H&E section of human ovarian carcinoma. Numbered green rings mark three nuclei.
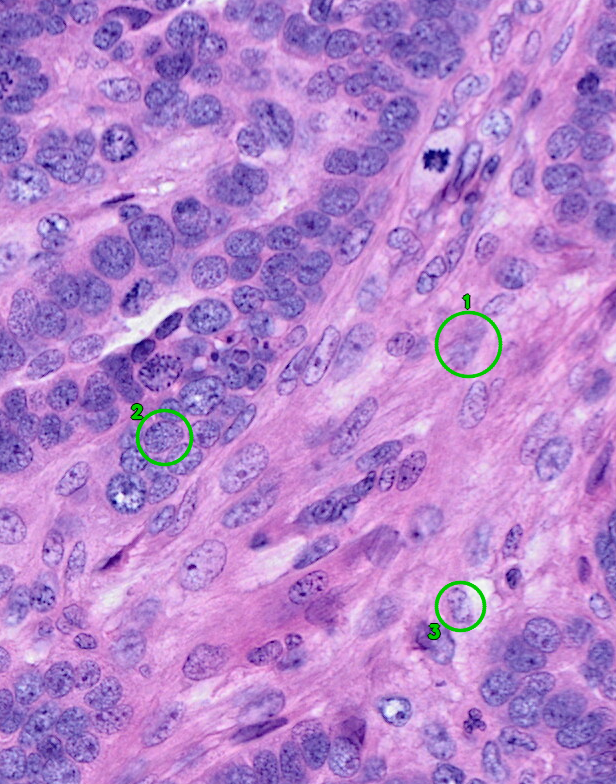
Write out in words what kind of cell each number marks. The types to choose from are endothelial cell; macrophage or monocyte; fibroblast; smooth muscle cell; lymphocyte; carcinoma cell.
Cell 1 is a fibroblast, cell 2 is a carcinoma cell and cell 3 is a fibroblast.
